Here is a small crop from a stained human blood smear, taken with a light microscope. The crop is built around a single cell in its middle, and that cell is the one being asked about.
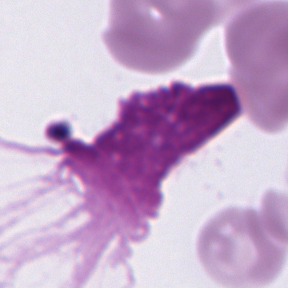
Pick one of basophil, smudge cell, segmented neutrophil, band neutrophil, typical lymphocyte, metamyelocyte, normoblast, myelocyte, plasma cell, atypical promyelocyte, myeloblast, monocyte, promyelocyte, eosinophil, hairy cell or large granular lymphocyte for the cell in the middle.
smudge cell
